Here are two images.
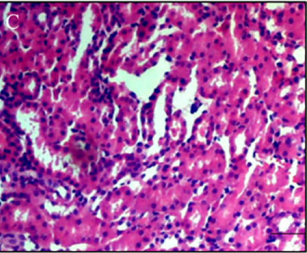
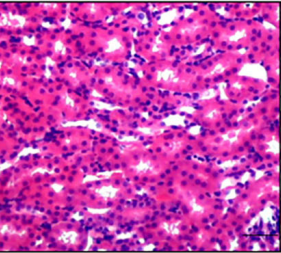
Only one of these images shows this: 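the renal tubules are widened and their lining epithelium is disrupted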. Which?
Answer: the first image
